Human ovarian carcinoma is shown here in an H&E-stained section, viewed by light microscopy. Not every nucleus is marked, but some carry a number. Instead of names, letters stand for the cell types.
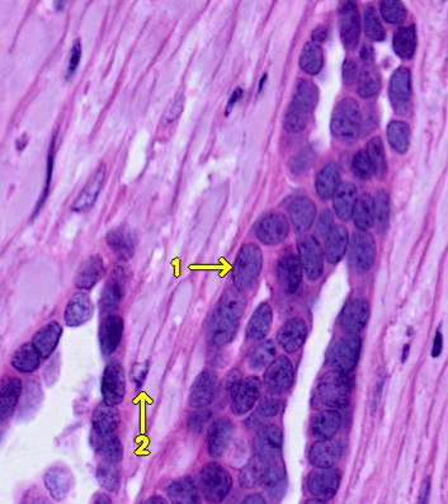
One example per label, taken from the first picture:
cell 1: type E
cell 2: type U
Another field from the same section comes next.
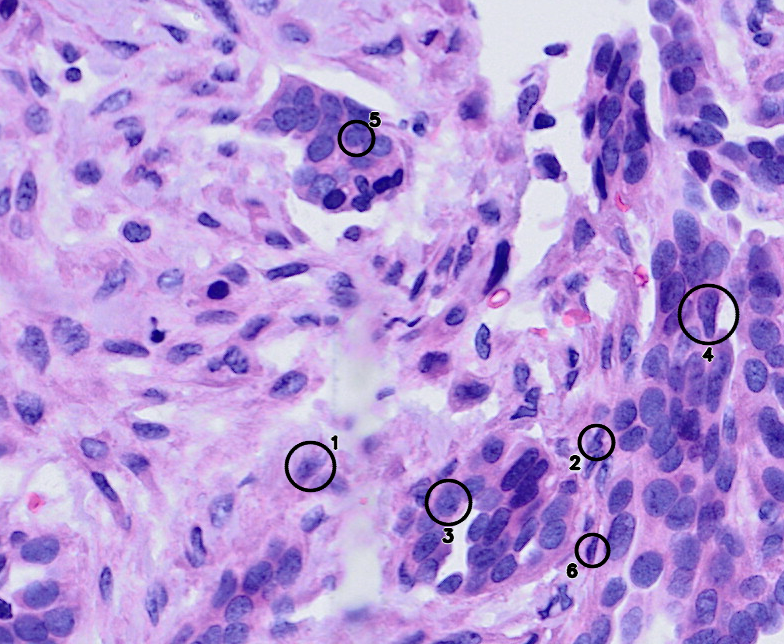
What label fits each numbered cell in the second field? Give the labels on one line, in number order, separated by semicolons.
type U; type U; type E; type E; type E; type U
